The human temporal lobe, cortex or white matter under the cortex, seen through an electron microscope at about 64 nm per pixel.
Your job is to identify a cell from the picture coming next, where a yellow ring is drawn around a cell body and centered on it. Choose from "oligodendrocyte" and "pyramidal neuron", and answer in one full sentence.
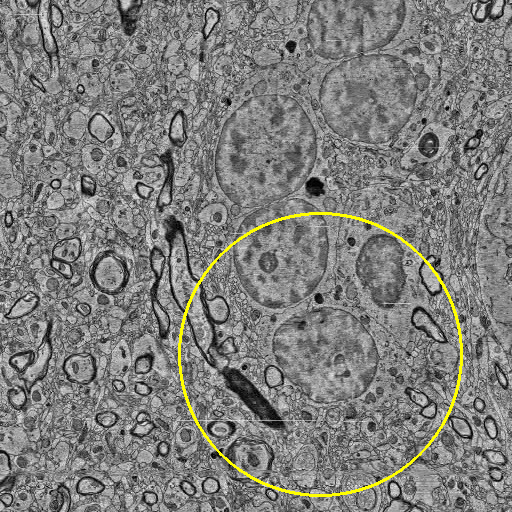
Centered in the yellow ring of the picture is the body of an oligodendrocyte.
